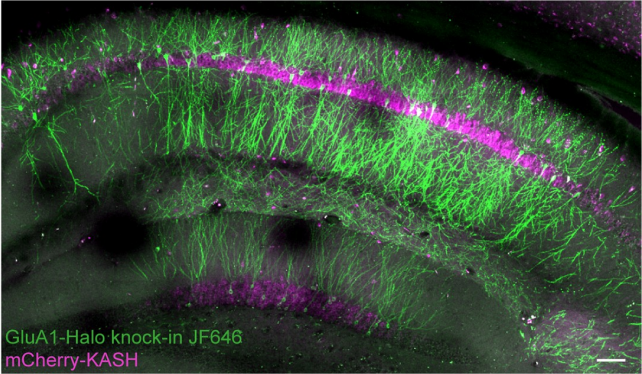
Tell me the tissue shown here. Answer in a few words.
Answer: hippocampus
